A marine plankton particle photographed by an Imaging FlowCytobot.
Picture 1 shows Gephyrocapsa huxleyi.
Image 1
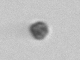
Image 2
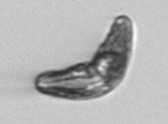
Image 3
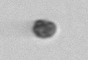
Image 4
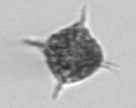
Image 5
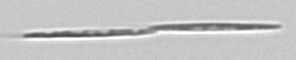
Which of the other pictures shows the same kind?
Picture 3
